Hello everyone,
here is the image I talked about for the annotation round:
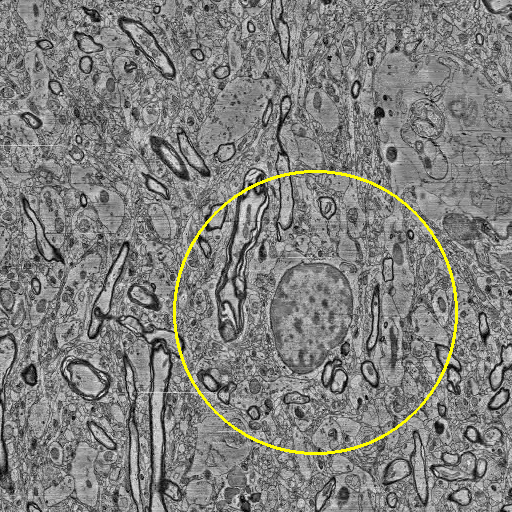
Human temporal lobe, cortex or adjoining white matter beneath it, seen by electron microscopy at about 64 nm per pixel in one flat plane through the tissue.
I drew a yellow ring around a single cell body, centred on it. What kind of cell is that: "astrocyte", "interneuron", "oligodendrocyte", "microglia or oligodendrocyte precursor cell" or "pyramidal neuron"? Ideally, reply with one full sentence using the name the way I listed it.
The cell your yellow ring is centred on is a microglial cell or oligodendrocyte precursor cell, going by your list.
